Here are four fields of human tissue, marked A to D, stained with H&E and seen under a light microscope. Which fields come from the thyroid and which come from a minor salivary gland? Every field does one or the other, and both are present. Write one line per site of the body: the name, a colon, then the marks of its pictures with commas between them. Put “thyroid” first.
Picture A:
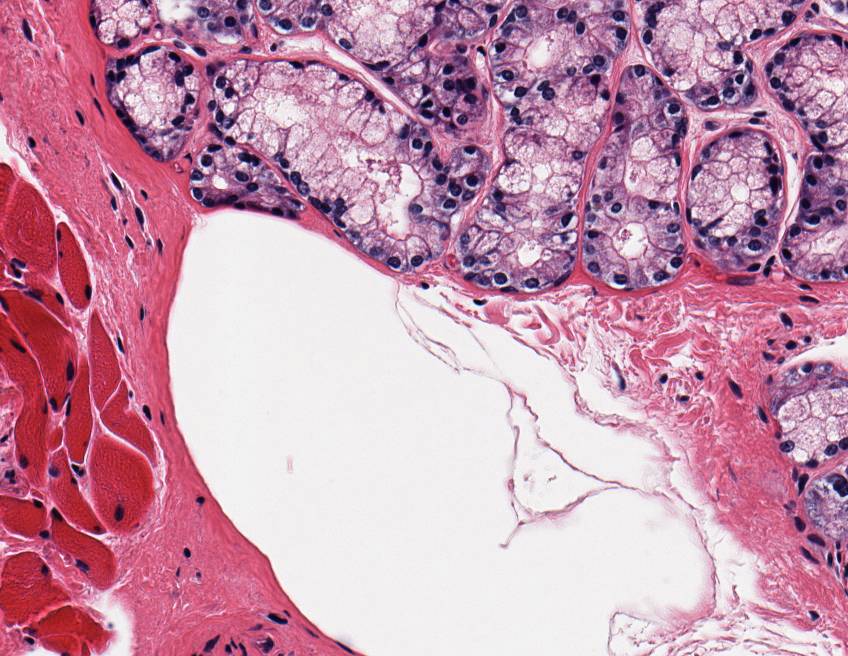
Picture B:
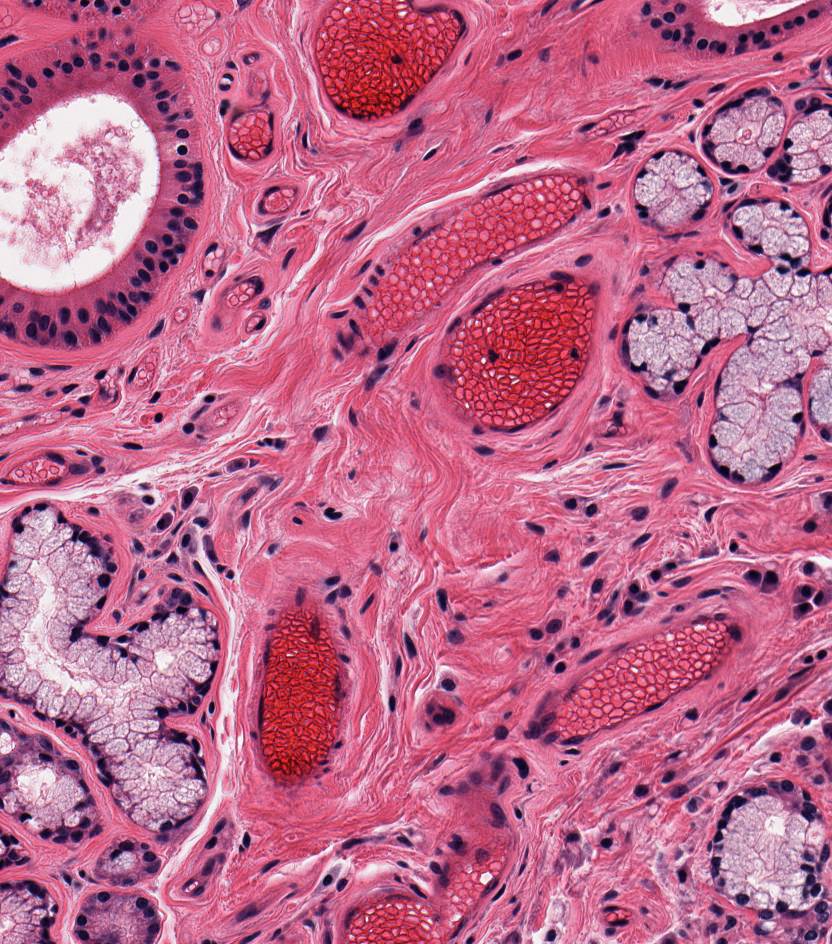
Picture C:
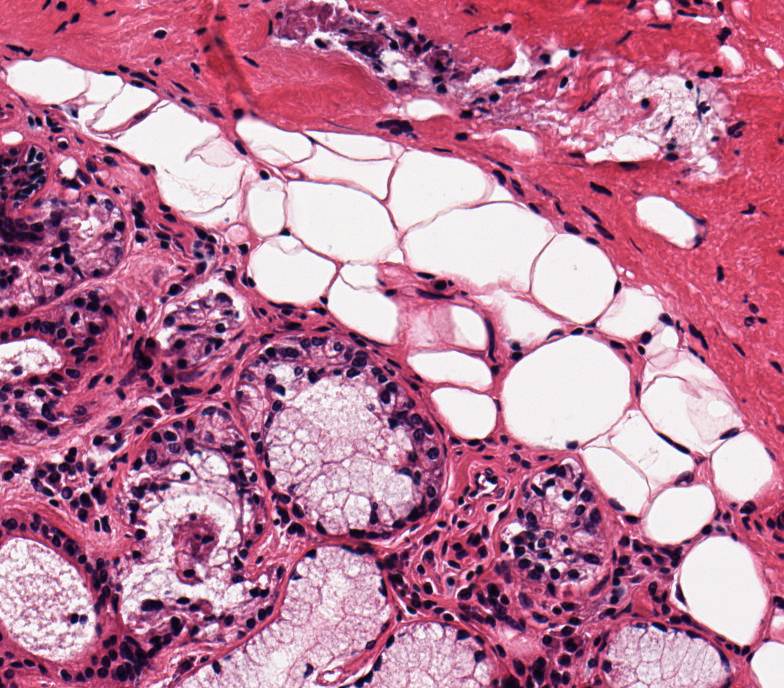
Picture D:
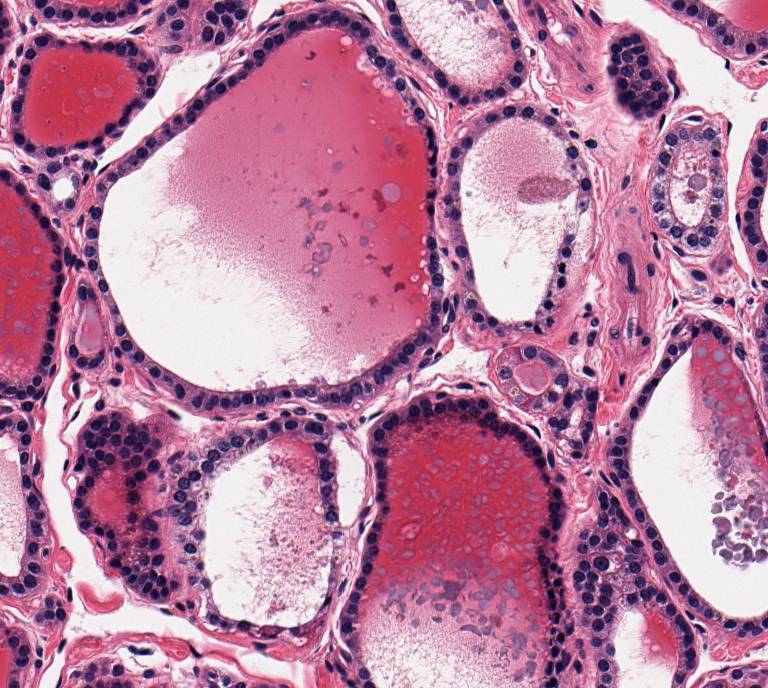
thyroid: D
minor salivary gland: A, B, C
